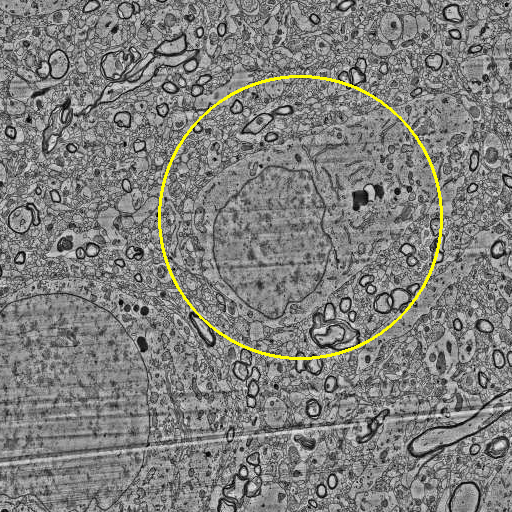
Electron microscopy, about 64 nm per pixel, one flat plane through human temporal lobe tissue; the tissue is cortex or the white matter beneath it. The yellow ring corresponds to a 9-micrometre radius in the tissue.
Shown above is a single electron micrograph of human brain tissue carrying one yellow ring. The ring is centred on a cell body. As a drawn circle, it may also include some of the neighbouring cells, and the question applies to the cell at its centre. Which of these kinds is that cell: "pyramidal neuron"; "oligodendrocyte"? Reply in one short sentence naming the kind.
The cell marked by the ring is a pyramidal neuron.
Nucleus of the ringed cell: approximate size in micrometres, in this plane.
Roughly 10 by 8 micrometres in this plane, for the nucleus of the ringed cell.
